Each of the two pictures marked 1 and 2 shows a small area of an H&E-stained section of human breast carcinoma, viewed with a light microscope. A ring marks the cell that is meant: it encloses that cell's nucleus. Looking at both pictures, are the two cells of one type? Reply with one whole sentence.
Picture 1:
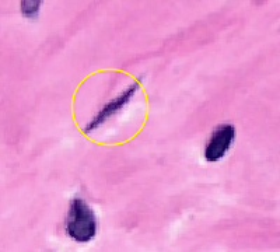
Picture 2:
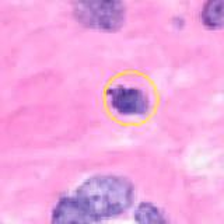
No, picture 1 shows a fibroblast and picture 2 shows a lymphocyte.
